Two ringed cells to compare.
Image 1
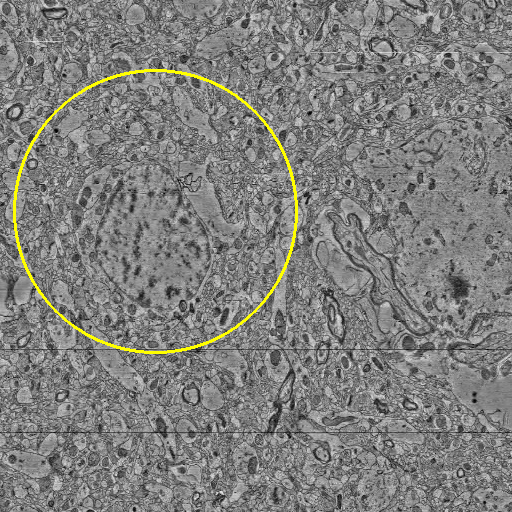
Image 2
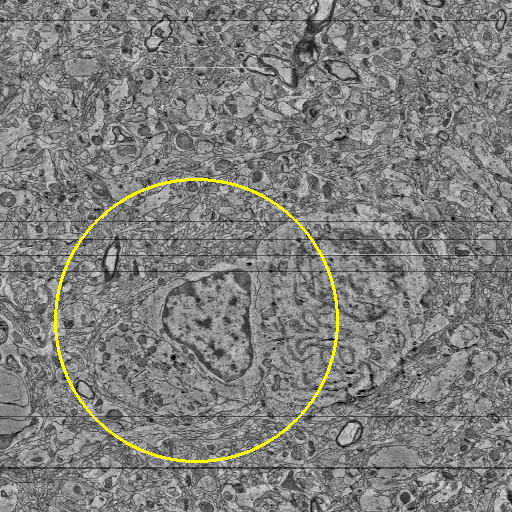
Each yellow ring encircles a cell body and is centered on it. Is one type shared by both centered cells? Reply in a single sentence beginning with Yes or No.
No, two types are found among the cells at the centers of the rings.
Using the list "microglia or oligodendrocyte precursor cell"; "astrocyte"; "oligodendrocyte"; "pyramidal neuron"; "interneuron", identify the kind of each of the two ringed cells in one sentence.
The first is an interneuron and the second is a microglial cell or oligodendrocyte precursor cell.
